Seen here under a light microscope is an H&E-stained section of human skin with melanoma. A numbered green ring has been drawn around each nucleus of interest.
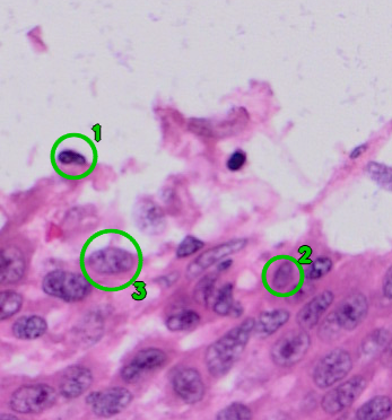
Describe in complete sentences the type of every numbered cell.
Cell 1 is a lymphocyte, cell 2 is a melanoma cell and cell 3 is a melanoma cell.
